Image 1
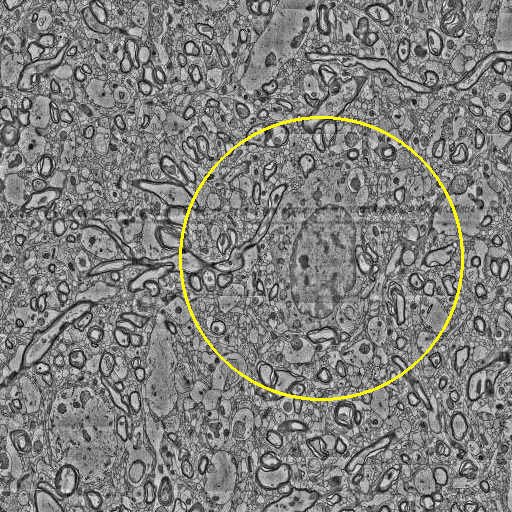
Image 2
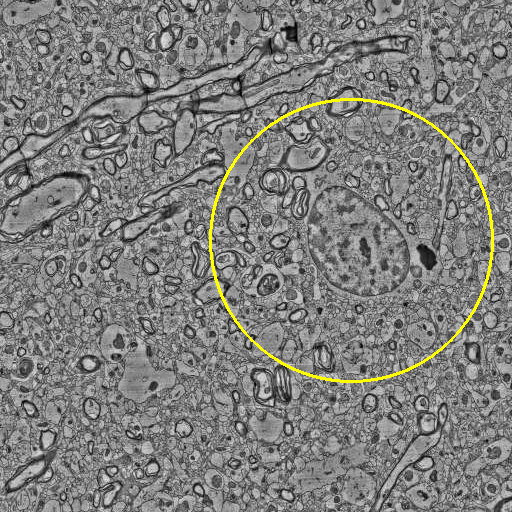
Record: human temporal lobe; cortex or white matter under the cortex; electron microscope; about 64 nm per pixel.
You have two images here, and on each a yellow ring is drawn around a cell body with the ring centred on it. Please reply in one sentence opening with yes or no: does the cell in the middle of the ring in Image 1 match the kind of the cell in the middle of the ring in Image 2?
Yes, the two images show cells of one kind at the centres of their rings.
